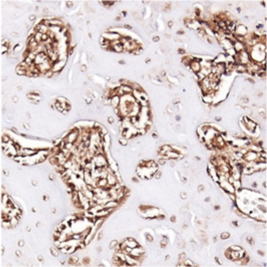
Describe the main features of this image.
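Numerous irregular channels run through the matrix, and the cells lining and filling them are stained dark brown. The brown-stained cells crowd the channels, while the surrounding matrix stays pale with bluish nuclei.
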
